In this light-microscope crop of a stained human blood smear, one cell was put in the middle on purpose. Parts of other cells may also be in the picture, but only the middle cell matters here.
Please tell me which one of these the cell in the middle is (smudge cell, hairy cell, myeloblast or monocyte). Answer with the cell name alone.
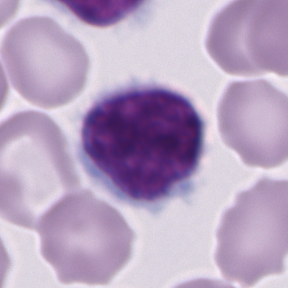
hairy cell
